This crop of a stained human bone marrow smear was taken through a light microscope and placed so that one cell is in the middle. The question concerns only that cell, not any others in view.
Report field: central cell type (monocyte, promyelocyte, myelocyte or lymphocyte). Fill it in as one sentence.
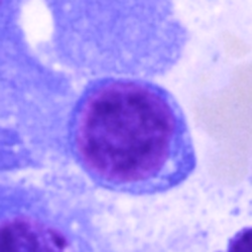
The crop centres on a single cell, and that cell is a lymphocyte.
